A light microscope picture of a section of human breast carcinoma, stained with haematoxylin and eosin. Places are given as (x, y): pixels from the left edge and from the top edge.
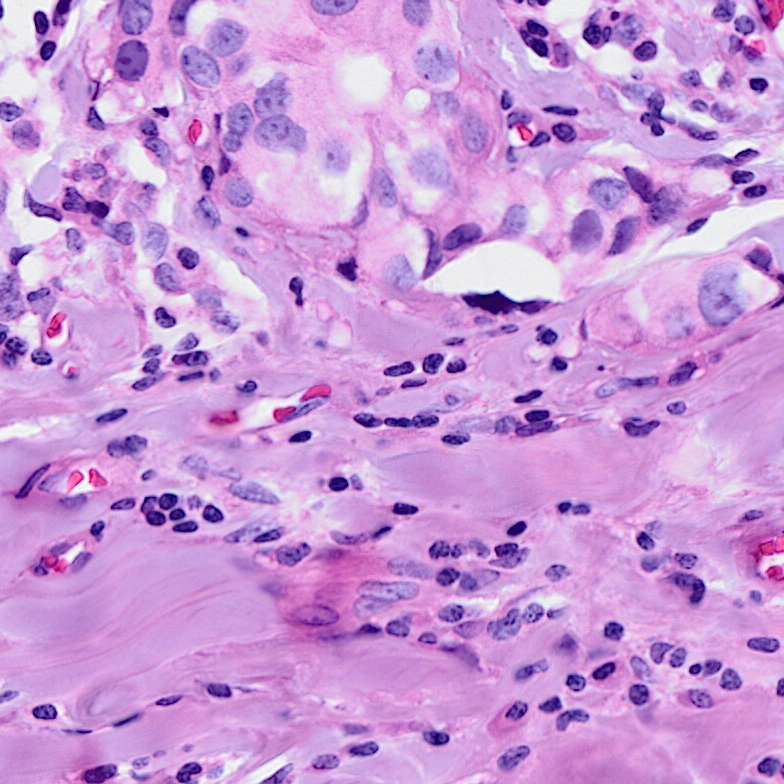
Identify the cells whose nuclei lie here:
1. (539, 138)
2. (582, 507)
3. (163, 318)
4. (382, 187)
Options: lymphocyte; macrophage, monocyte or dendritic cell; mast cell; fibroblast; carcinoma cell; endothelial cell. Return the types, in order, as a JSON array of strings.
["endothelial cell", "lymphocyte", "lymphocyte", "carcinoma cell"]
